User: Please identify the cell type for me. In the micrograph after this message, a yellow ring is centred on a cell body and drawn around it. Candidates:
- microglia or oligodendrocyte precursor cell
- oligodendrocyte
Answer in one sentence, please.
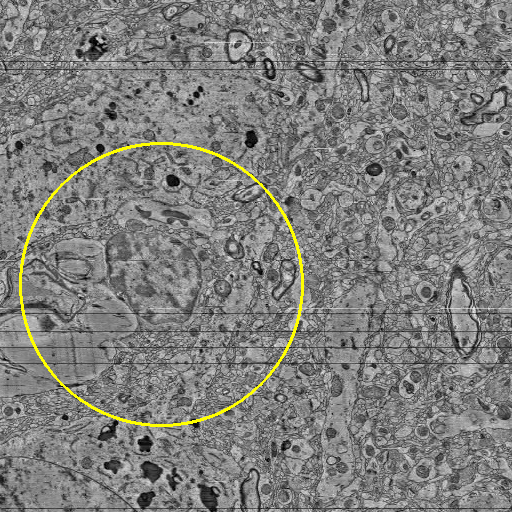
The ring is drawn around the cell body of an oligodendrocyte.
